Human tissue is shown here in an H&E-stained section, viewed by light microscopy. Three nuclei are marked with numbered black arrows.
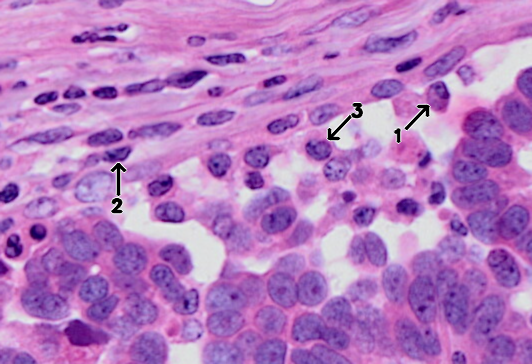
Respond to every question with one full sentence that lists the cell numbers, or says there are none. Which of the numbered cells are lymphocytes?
Across all the numbered cells, only number 2 is a lymphocyte.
